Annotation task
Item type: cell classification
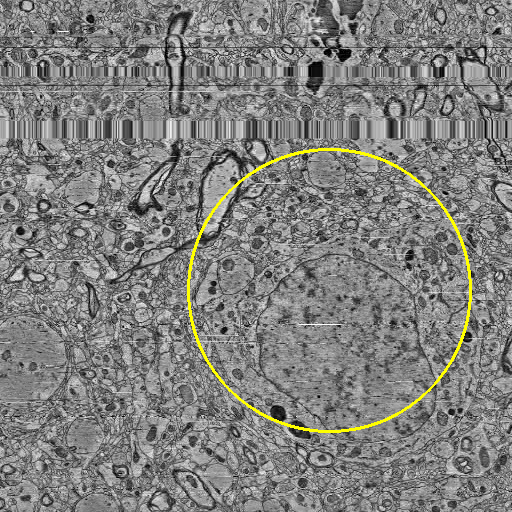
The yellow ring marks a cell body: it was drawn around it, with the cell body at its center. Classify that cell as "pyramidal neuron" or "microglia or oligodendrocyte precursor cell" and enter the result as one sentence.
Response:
The ring's center falls on a pyramidal neuron.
